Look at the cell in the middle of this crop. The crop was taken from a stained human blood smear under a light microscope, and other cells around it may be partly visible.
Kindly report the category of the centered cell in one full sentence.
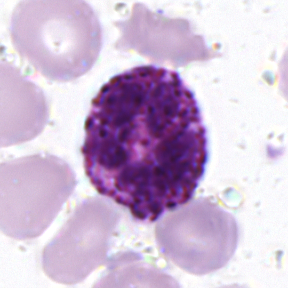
The cell at the central position in this crop is a basophil.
